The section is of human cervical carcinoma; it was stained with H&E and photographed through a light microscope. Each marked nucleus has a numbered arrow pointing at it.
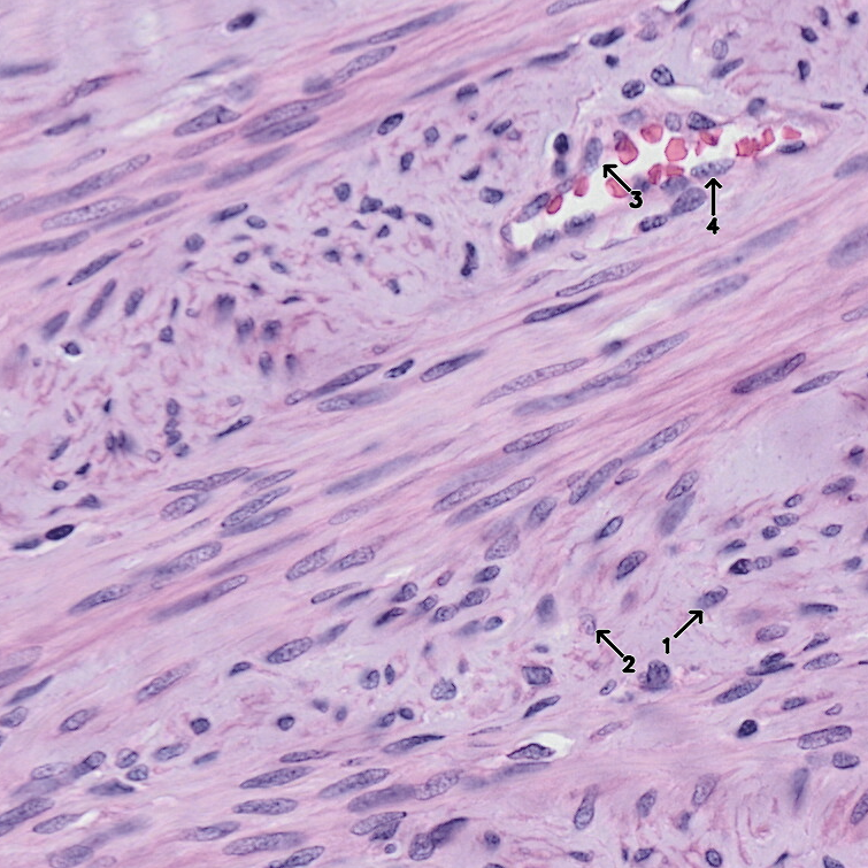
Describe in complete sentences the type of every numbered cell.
Cells 1 and 2 are smooth muscle cells. Cells 3 and 4 are endothelial cells.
